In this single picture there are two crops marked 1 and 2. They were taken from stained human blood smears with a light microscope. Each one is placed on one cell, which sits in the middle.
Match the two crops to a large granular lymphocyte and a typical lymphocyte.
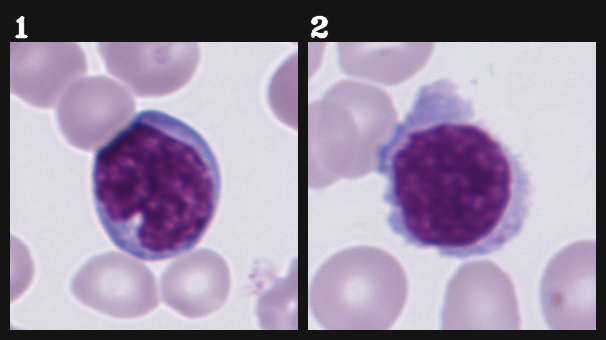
1: large granular lymphocyte
2: typical lymphocyte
